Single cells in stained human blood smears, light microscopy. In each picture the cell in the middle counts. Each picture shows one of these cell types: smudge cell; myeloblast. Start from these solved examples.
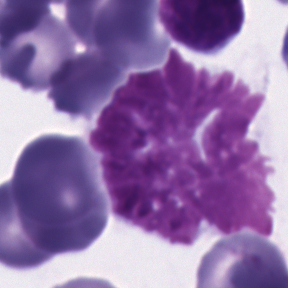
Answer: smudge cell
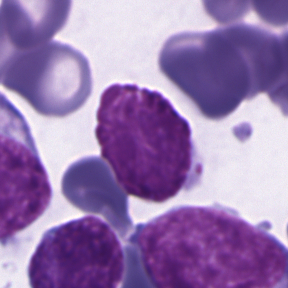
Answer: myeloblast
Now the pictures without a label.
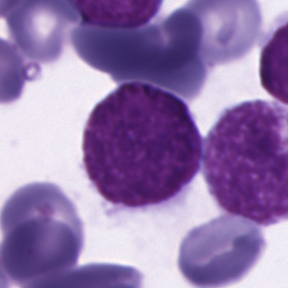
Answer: myeloblast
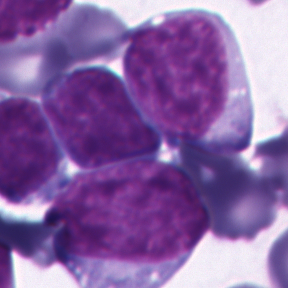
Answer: myeloblast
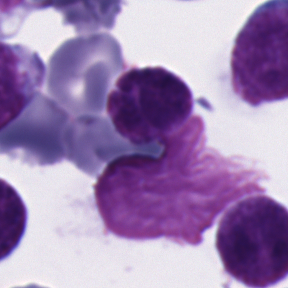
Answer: smudge cell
